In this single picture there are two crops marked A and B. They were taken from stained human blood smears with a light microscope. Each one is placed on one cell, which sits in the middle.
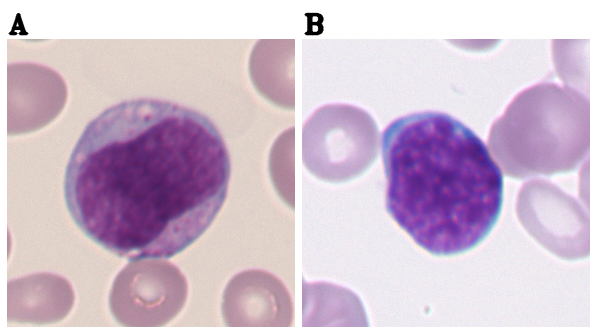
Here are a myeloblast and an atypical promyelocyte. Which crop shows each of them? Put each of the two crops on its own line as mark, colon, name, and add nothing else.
A: atypical promyelocyte
B: myeloblast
